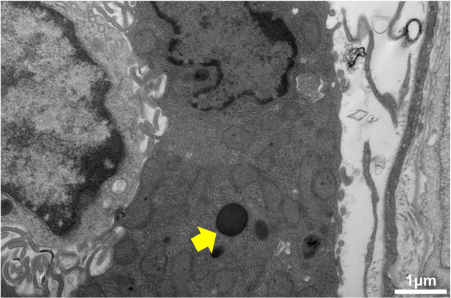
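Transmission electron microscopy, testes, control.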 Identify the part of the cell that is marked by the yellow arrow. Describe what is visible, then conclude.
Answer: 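Lipid droplets. A round, homogeneous, electron-dense body lies in the cytoplasm at the arrow tip. It has no internal membranes or cristae, unlike the neighbouring mitochondria.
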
